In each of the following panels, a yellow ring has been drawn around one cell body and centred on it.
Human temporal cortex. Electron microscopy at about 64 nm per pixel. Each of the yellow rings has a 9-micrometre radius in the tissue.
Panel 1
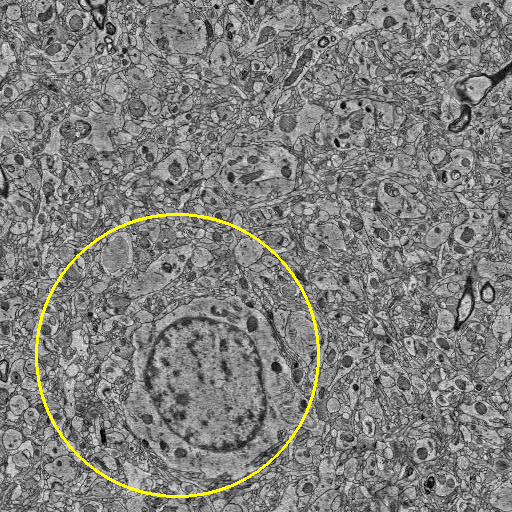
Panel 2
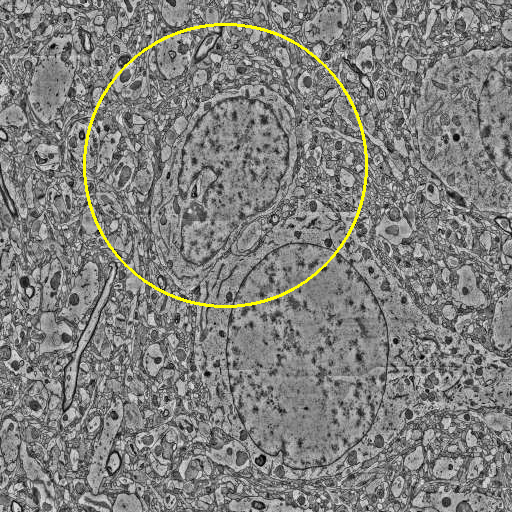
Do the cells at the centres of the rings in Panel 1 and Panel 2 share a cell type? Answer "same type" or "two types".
two types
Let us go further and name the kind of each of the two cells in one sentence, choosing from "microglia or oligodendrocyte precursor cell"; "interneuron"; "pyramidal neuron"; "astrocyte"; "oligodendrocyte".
The ring of the first picture is on an astrocyte, the ring of the second on an interneuron.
